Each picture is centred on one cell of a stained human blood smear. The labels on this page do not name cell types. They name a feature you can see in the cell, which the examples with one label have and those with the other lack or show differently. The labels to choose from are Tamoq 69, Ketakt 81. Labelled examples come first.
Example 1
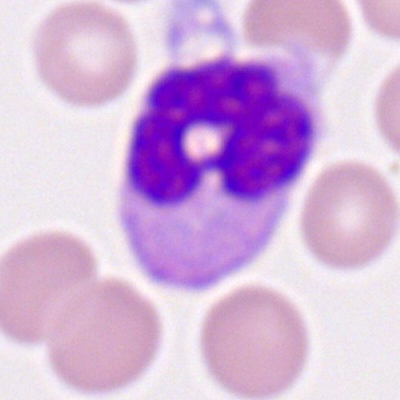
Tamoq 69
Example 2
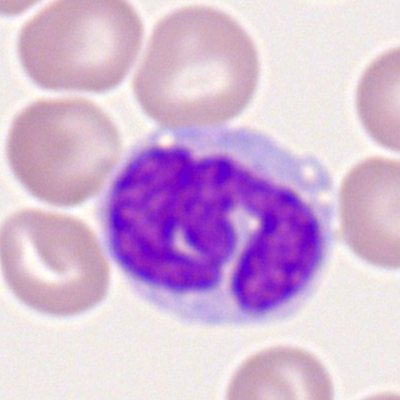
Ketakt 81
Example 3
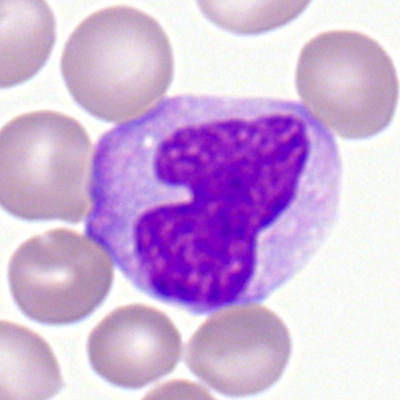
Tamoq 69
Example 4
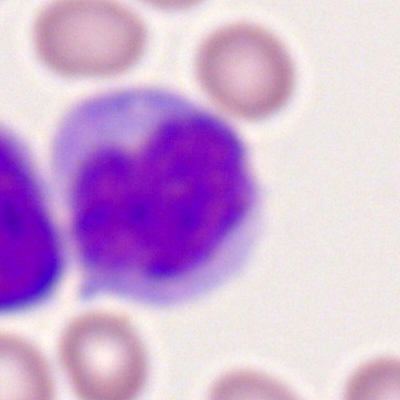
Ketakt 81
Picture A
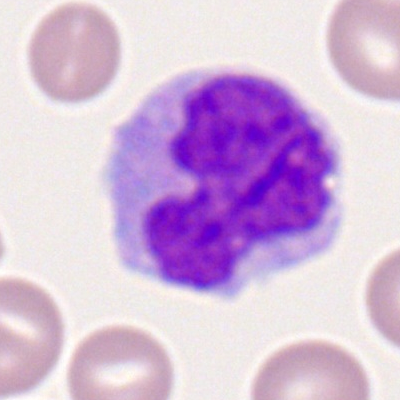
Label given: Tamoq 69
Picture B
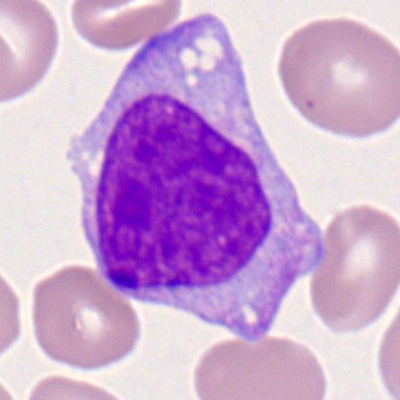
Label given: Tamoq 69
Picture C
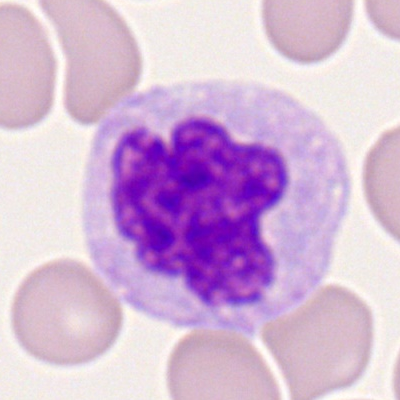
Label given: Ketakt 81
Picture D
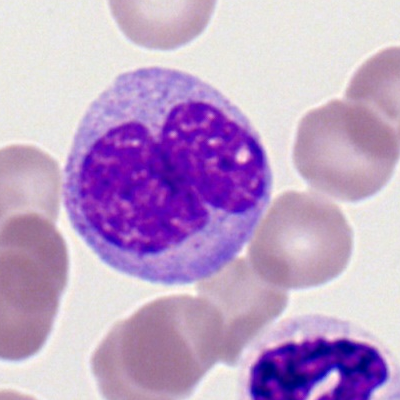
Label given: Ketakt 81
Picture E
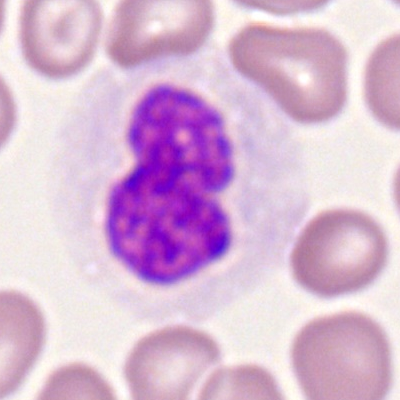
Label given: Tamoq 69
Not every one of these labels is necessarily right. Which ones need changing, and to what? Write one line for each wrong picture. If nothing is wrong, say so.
C: change Ketakt 81 to Tamoq 69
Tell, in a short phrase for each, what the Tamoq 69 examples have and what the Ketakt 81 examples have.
Tamoq 69, abundant cytoplasm; Ketakt 81, scant cytoplasm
